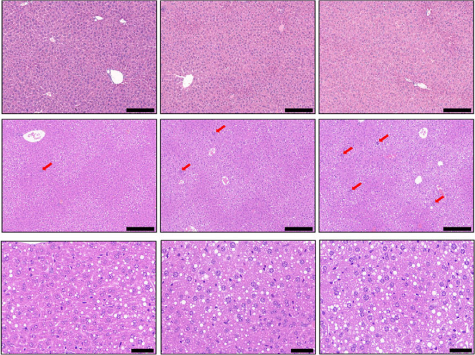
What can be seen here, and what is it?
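This is liver tissue stained pink and purple, with hepatocytes filling the field around scattered round vessel openings. In the top row the parenchyma is evenly pink. In the lower rows the tissue is paler, and at higher magnification many hepatocytes hold clear, round, empty-looking vacuoles of varied size in their cytoplasm around a dark nucleus.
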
